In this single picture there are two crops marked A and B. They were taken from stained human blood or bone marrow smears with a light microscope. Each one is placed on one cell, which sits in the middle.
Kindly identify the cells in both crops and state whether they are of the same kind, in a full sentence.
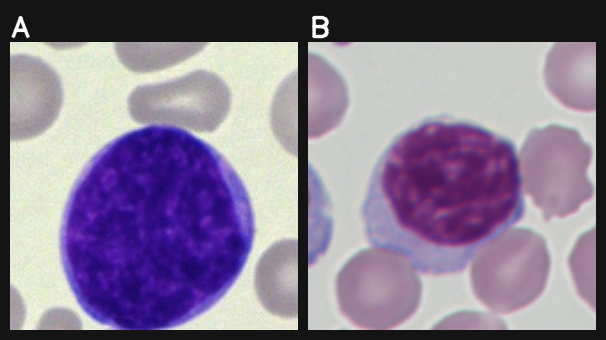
No, crop A presents a blast; crop B presents a lymphocyte.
